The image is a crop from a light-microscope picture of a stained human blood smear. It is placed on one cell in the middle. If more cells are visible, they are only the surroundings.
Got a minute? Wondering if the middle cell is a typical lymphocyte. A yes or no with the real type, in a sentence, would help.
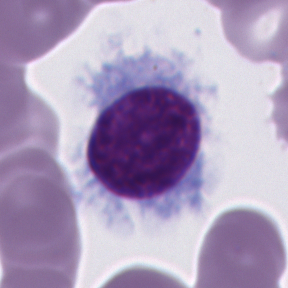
No, the cell sitting in the centre of the crop is a hairy cell, not a typical lymphocyte.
